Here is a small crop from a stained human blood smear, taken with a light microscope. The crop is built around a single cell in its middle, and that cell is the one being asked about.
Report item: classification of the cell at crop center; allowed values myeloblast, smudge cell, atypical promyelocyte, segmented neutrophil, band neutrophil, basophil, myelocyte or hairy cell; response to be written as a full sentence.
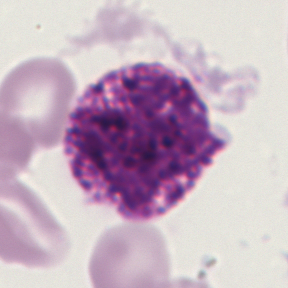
Here the centrally located cell is a basophil.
